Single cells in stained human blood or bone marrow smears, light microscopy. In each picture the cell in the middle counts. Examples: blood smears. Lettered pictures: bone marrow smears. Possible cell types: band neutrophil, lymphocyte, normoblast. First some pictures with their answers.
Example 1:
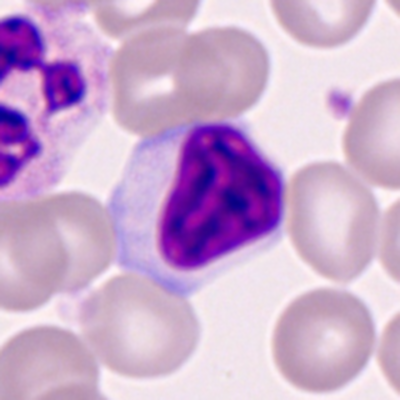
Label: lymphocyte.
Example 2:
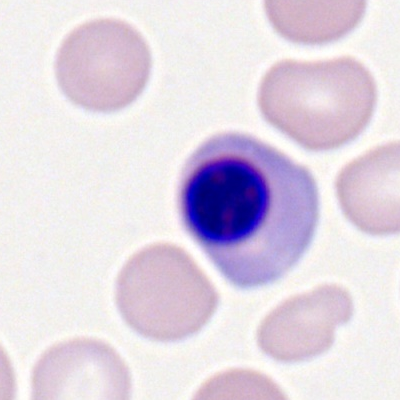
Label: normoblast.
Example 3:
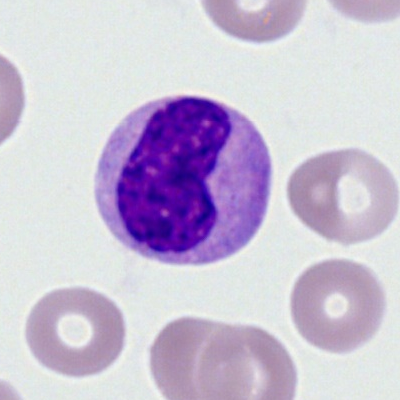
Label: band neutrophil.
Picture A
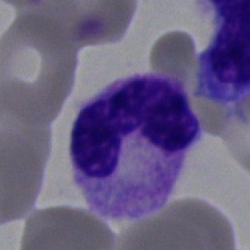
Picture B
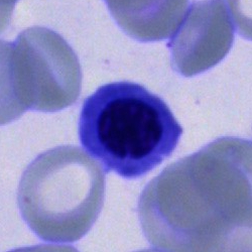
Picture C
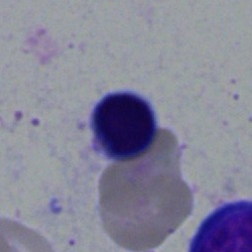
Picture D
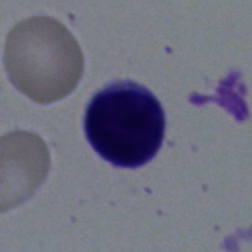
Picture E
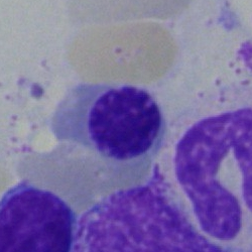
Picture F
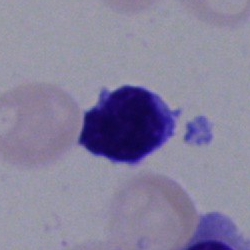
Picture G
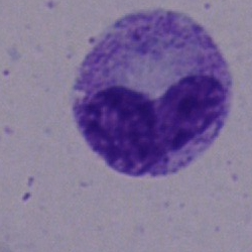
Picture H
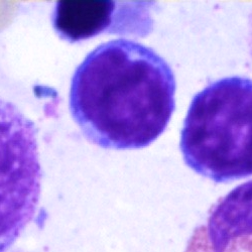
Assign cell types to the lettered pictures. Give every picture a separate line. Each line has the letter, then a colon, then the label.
A: band neutrophil.
B: normoblast.
C: normoblast.
D: lymphocyte.
E: normoblast.
F: lymphocyte.
G: band neutrophil.
H: lymphocyte.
